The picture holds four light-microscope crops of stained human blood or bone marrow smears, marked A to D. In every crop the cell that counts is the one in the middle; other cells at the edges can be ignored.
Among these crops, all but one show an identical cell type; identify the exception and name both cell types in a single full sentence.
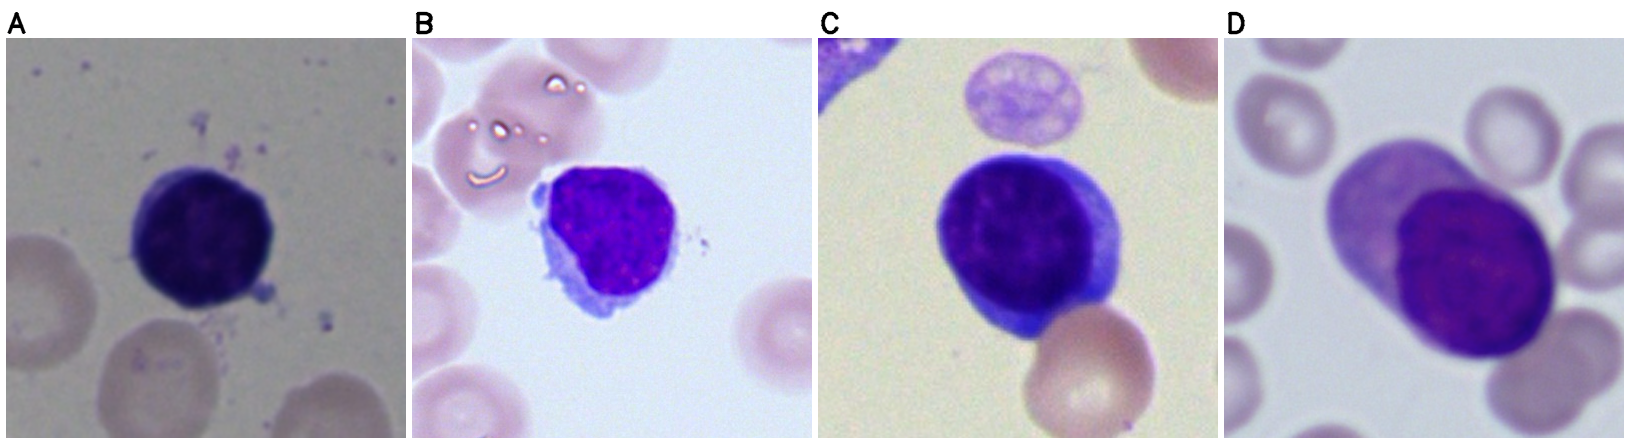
The exception is crop D, with a blast; the remaining crops all show lymphocytes.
